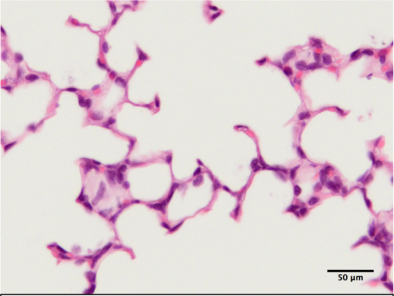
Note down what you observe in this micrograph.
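This is lung tissue with wide open airspaces separated by thin, delicate pink walls. Only scattered purple nuclei sit within these slender walls, and the airspaces are largely empty.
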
